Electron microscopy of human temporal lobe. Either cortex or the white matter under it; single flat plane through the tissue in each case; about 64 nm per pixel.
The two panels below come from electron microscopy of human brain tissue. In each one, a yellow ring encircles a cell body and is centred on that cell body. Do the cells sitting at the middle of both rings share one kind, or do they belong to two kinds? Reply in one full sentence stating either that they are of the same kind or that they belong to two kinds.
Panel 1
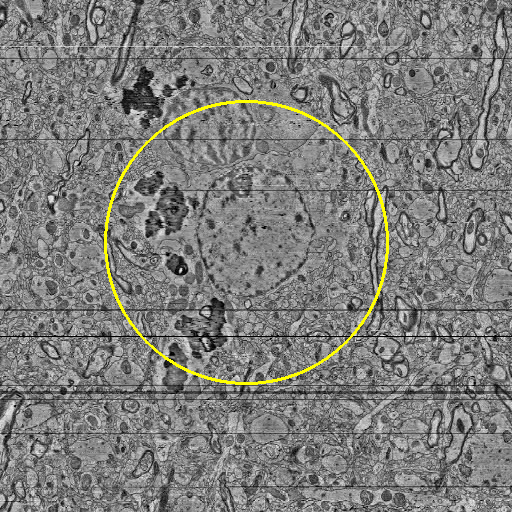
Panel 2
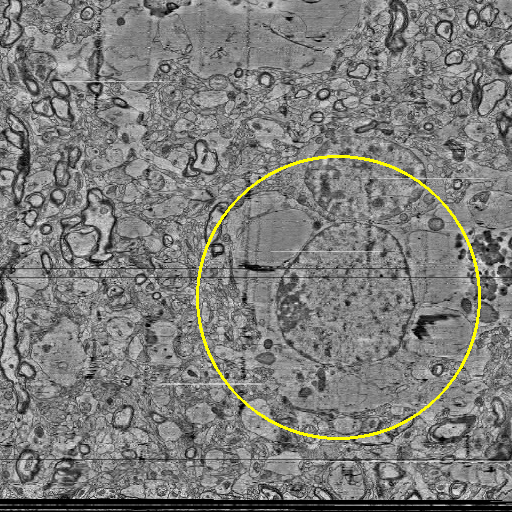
The cells at the centres of the two rings are of the same kind.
